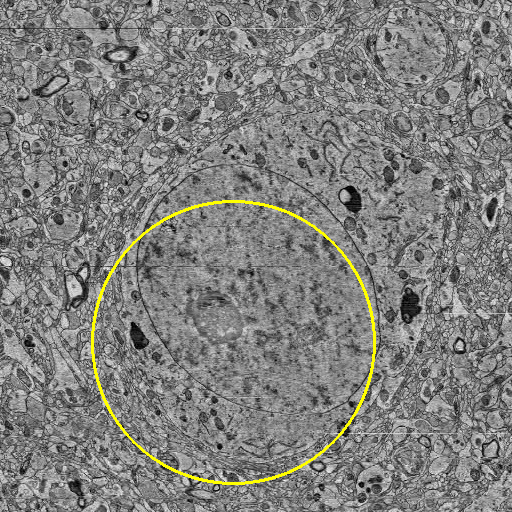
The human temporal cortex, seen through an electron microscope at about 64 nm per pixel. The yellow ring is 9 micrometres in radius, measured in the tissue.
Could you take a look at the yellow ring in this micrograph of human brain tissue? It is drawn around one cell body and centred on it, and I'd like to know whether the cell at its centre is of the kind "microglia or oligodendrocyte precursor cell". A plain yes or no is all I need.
no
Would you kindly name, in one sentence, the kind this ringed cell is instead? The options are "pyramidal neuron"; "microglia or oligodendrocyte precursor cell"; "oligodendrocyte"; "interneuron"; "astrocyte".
Instead, the cell inside the ring is a pyramidal neuron.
